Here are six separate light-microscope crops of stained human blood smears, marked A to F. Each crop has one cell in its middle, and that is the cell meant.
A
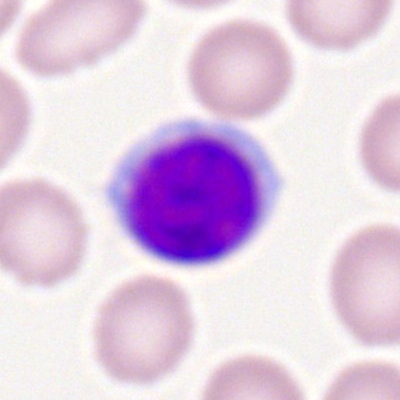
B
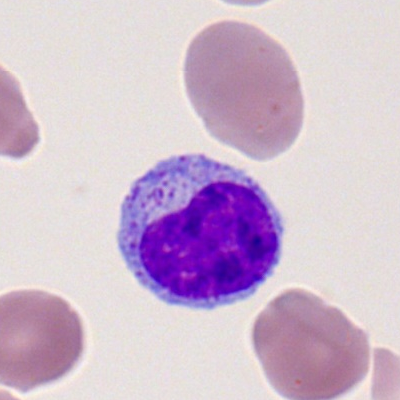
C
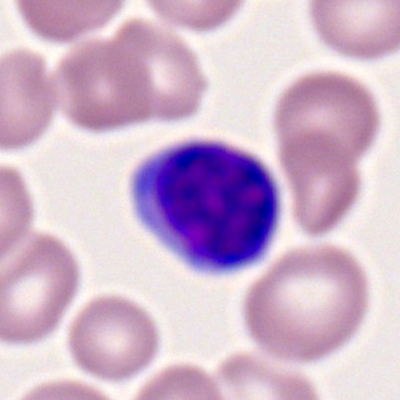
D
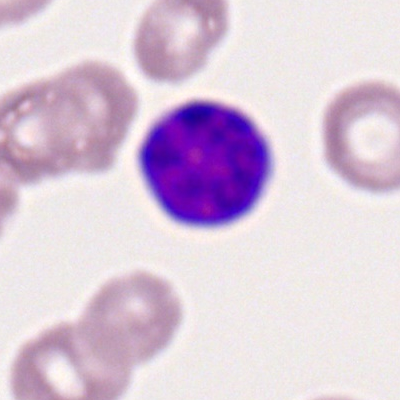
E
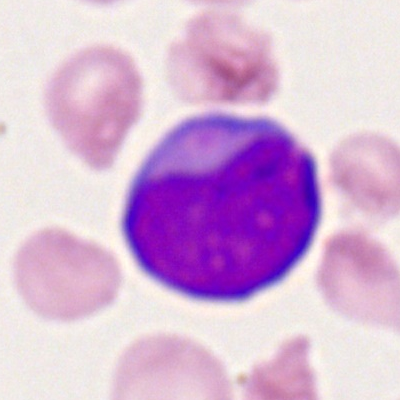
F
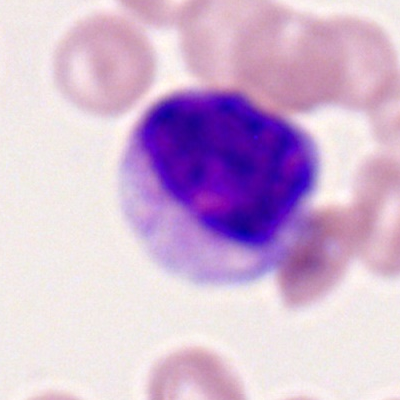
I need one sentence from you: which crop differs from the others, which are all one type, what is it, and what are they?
All the crops show lymphocytes except crop E, which shows a myeloblast.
